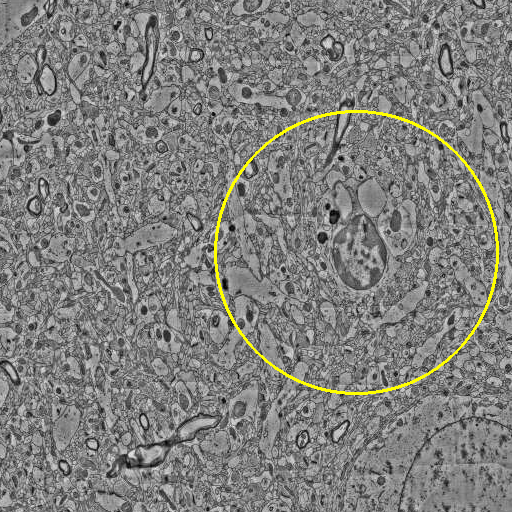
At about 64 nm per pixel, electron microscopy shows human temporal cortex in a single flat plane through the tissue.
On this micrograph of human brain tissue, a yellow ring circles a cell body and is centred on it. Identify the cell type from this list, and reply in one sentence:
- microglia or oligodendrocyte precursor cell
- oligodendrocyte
The cell at the centre is a microglial cell or oligodendrocyte precursor cell.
